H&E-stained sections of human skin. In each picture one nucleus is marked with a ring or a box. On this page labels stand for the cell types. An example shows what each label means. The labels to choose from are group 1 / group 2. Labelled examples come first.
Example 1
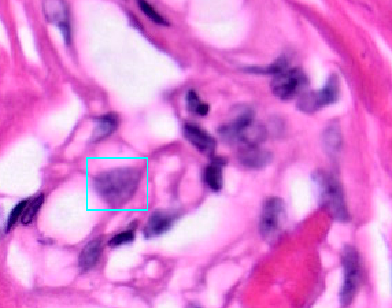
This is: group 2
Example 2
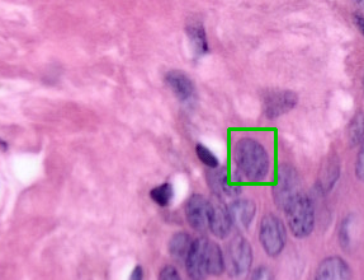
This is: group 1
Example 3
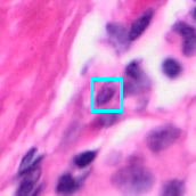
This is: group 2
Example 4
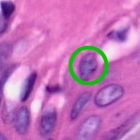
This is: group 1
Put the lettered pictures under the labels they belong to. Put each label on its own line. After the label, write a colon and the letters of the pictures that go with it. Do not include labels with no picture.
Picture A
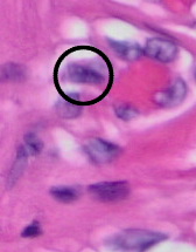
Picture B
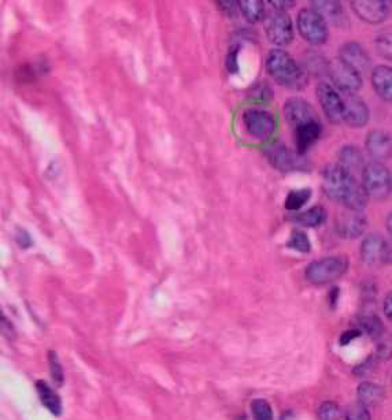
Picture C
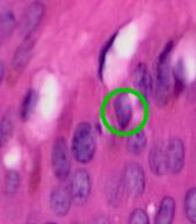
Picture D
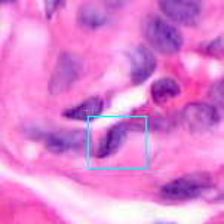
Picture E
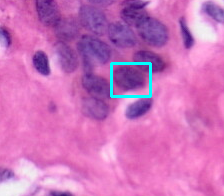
group 1: B, C, E
group 2: A, D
